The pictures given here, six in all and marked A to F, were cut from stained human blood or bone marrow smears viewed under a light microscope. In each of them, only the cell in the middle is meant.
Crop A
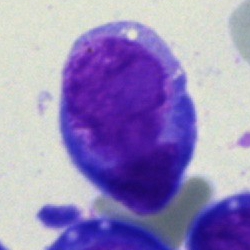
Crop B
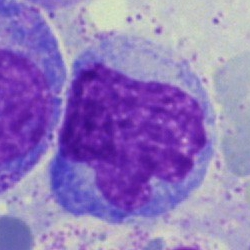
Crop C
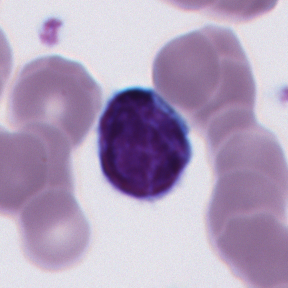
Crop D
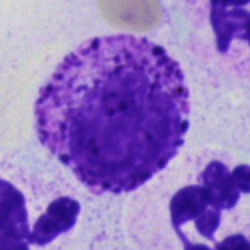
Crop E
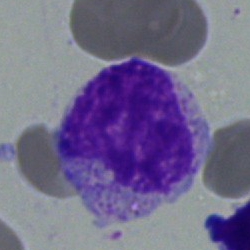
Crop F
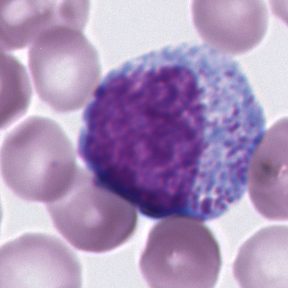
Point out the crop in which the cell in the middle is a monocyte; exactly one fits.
B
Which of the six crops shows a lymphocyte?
C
